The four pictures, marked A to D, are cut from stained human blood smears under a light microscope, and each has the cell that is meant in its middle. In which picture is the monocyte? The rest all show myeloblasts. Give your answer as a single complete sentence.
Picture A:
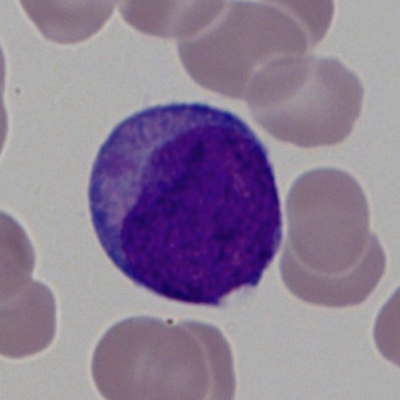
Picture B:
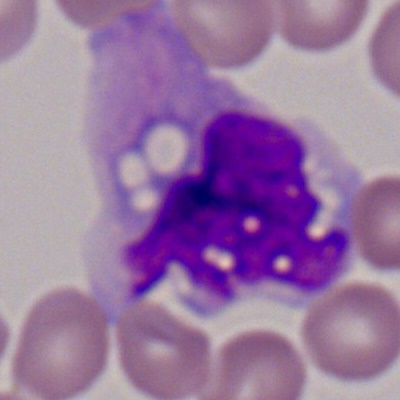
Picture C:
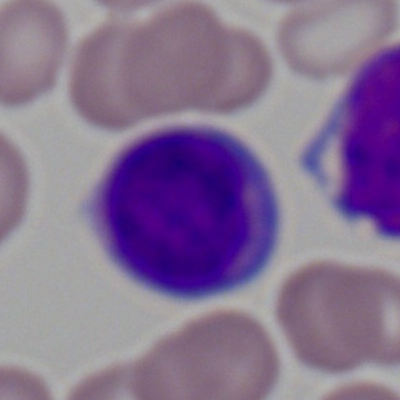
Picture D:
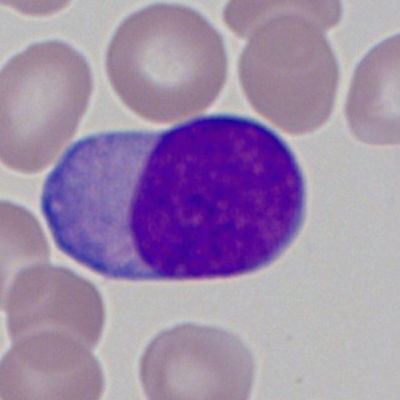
Picture B is the one that shows the monocyte.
